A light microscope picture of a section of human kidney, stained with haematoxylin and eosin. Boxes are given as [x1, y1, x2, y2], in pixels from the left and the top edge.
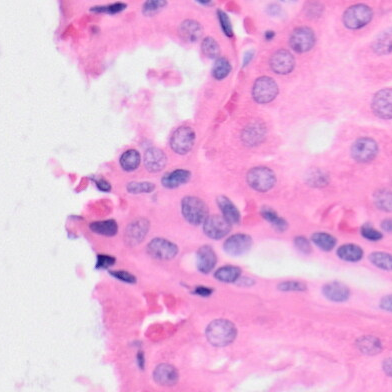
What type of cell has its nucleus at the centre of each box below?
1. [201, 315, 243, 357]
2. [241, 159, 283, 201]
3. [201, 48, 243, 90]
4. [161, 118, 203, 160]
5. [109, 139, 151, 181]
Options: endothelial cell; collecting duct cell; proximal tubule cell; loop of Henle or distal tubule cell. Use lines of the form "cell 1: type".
cell 1: proximal tubule cell
cell 2: proximal tubule cell
cell 3: loop of Henle or distal tubule cell
cell 4: loop of Henle or distal tubule cell
cell 5: loop of Henle or distal tubule cell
